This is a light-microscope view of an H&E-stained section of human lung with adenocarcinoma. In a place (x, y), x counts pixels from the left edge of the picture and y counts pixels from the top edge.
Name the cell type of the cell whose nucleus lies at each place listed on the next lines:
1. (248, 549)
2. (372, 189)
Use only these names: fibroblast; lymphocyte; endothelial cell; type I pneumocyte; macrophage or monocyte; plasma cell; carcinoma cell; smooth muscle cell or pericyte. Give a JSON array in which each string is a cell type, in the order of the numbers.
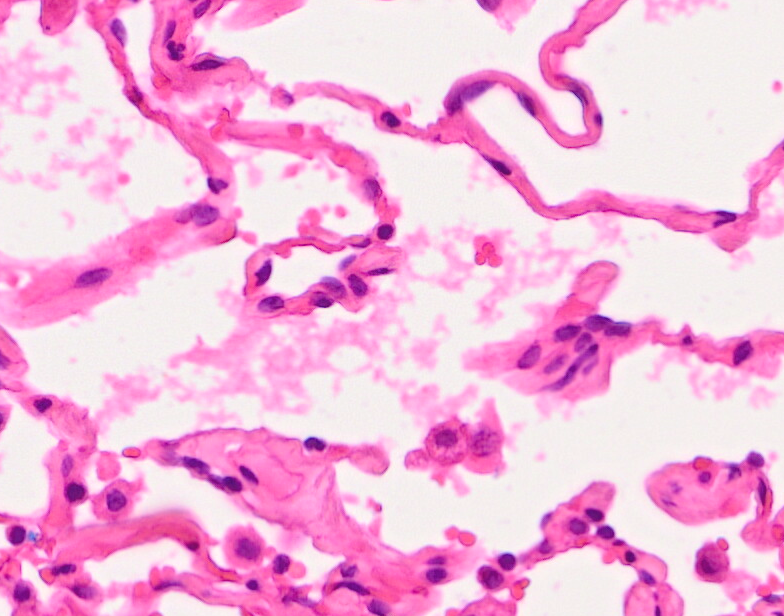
["macrophage or monocyte", "type I pneumocyte"]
